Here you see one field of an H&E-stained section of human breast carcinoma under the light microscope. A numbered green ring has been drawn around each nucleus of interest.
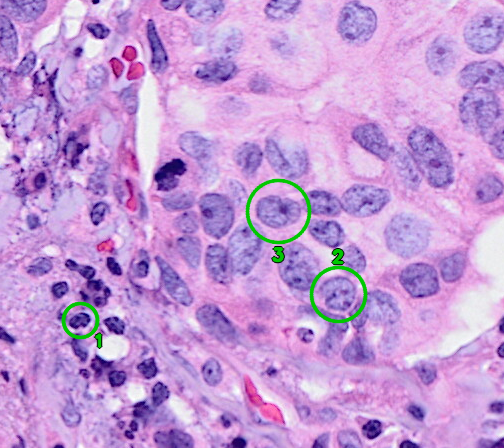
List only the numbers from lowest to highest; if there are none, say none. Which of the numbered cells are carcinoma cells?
2, 3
